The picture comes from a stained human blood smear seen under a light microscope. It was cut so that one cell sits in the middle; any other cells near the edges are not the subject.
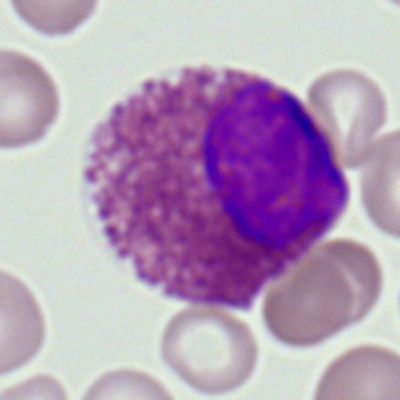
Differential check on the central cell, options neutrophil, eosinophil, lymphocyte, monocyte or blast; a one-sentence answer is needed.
For this crop, the central cell is an eosinophil.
